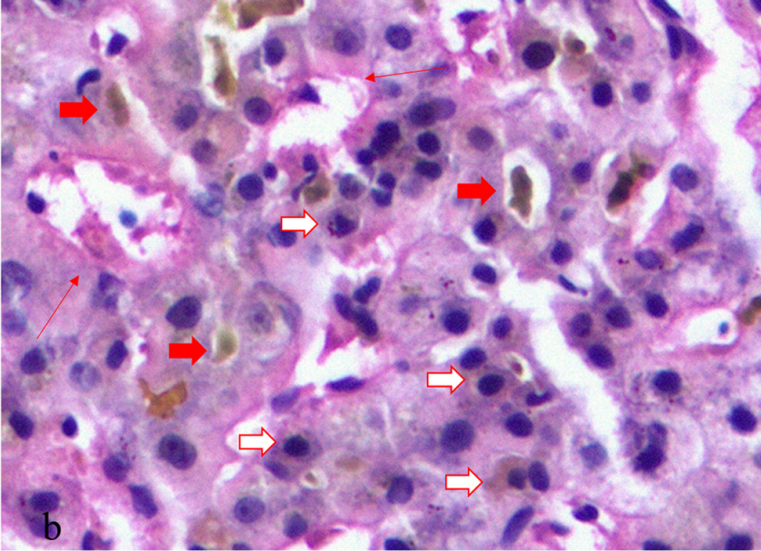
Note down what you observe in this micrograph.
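Liver parenchyma at higher magnification, with inflamed hepatocyte plates and bile stasis. The hepatocytes are large polygonal cells with pink, finely granular cytoplasm and round, purple-blue nuclei, some with visible nucleoli. Small cells with dark, round nuclei lie scattered among them, pointing to an inflammatory infiltrate. Brown to yellow-green bile plugs fill narrow canalicular spaces between the hepatocytes, and some hepatocytes hold brownish pigment in their cytoplasm. The sinusoids are irregular clear spaces, some containing pale pink material, and the plates appear disorganized.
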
